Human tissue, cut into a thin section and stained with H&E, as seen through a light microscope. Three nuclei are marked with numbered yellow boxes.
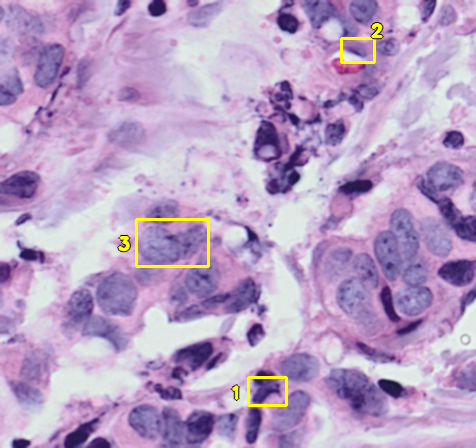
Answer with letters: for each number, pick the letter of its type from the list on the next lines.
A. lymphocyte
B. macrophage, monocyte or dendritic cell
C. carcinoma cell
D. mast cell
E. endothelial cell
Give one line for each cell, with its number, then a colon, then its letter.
1: C
2: E
3: C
